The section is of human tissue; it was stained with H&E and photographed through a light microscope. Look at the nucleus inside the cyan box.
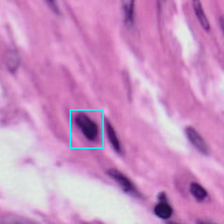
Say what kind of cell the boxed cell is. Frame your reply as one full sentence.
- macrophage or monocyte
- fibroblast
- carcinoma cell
Recorded by type, the boxed cell is a fibroblast.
